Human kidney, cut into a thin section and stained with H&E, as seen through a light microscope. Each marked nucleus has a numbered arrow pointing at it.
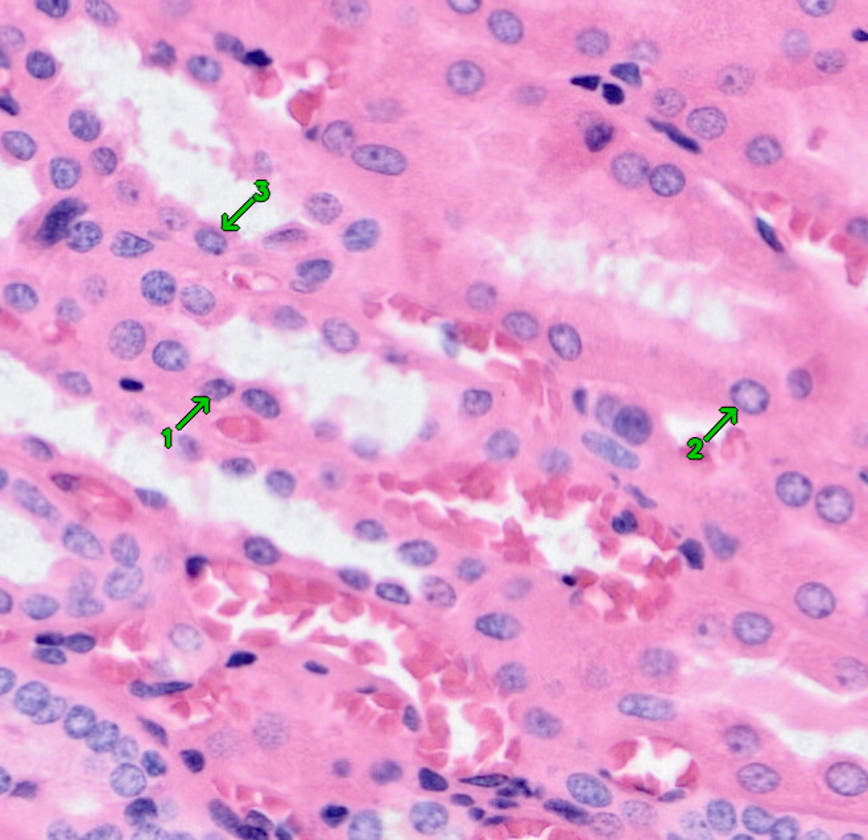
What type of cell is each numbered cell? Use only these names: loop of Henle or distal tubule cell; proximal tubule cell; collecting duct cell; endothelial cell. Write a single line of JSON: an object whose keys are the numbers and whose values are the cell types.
{"1": "loop of Henle or distal tubule cell", "2": "proximal tubule cell", "3": "loop of Henle or distal tubule cell"}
